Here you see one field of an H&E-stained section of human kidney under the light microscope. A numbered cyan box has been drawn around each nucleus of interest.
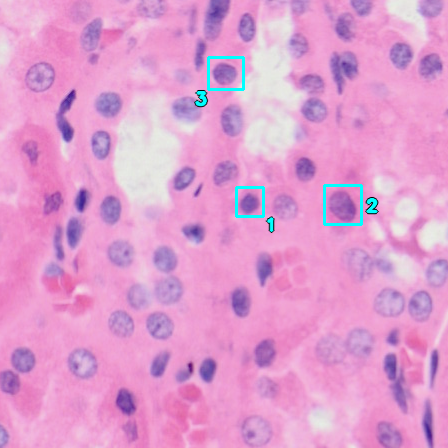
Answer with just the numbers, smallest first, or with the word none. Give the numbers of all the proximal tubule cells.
2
